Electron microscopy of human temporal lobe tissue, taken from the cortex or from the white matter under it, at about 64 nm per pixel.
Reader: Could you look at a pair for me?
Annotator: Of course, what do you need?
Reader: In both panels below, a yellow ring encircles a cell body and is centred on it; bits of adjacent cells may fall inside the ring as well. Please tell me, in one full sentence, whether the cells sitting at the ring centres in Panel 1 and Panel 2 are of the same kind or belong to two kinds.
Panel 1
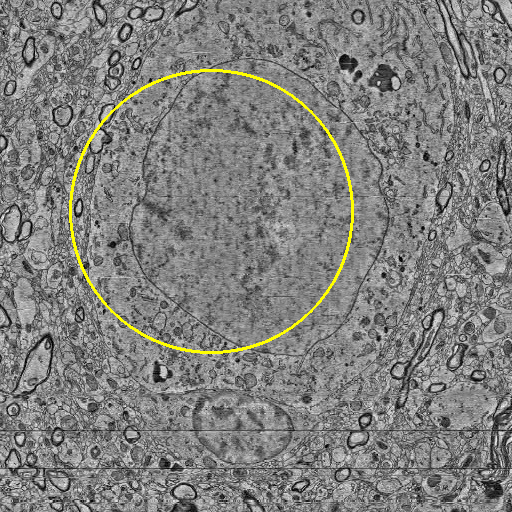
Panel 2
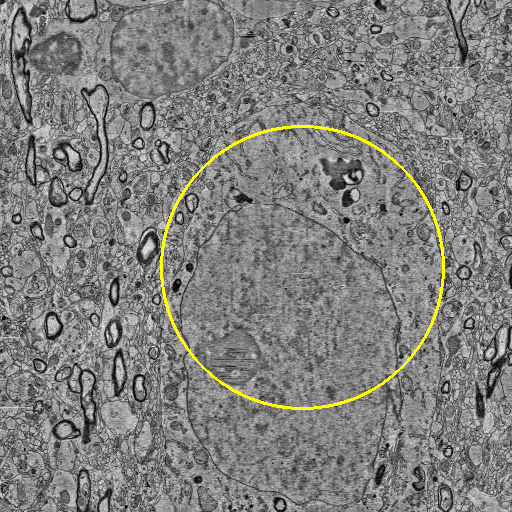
The cell at the ring's centre in Panel 1 and the one in Panel 2 are of the same kind.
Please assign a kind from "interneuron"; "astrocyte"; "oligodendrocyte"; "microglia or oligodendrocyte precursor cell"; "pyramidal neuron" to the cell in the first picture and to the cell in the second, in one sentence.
In each of the two pictures, the ringed cell is a pyramidal neuron.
